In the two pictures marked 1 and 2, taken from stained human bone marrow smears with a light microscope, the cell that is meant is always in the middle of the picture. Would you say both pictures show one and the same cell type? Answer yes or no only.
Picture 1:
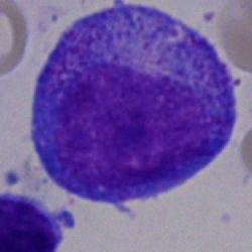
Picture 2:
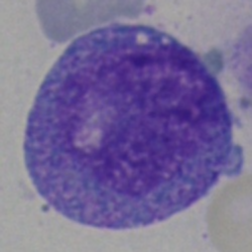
yes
